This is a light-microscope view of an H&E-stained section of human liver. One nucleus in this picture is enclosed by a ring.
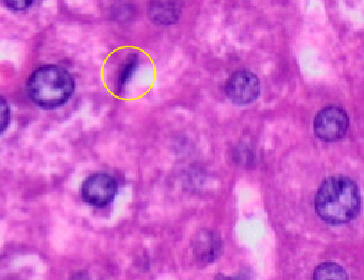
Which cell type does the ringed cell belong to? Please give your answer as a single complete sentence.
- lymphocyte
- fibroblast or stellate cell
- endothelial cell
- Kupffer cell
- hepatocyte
Within this tissue, the ringed cell is an endothelial cell.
